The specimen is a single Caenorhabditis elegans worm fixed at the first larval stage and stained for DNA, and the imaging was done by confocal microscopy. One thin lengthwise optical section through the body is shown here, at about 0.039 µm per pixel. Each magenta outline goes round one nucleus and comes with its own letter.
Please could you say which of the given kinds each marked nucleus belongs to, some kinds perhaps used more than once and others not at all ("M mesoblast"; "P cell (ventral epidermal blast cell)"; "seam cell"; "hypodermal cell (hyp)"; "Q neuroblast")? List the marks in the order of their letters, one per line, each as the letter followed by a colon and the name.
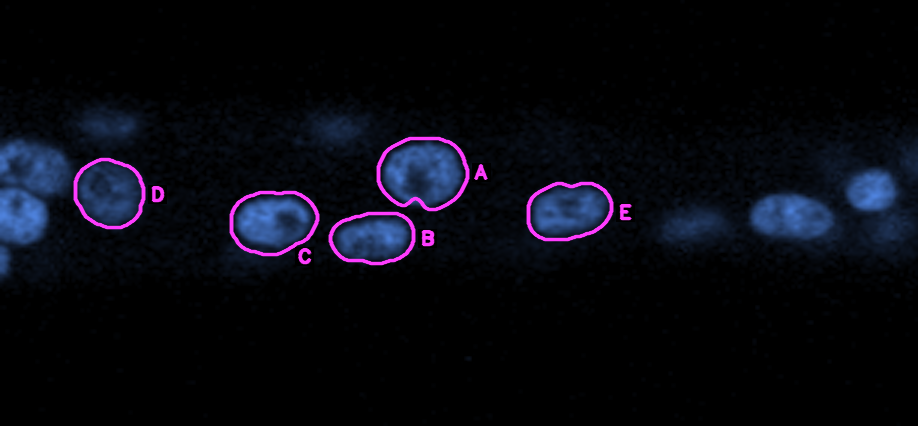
A: hypodermal cell (hyp)
B: P cell (ventral epidermal blast cell)
C: seam cell
D: M mesoblast
E: seam cell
